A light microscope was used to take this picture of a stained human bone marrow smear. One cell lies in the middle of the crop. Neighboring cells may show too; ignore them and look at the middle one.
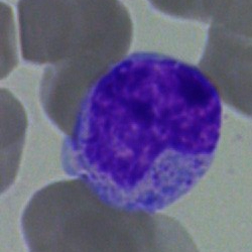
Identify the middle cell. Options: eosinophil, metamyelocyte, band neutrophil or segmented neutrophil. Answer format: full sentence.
The cell found in the middle of this crop is a metamyelocyte.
